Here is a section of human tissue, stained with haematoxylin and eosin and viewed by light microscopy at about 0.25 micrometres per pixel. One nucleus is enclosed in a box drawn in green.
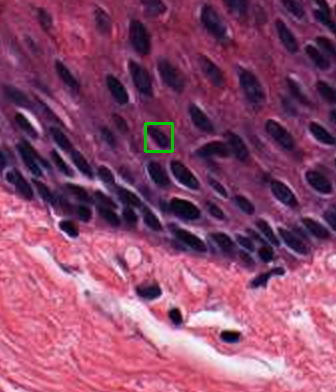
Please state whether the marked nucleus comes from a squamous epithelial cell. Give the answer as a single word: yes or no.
yes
